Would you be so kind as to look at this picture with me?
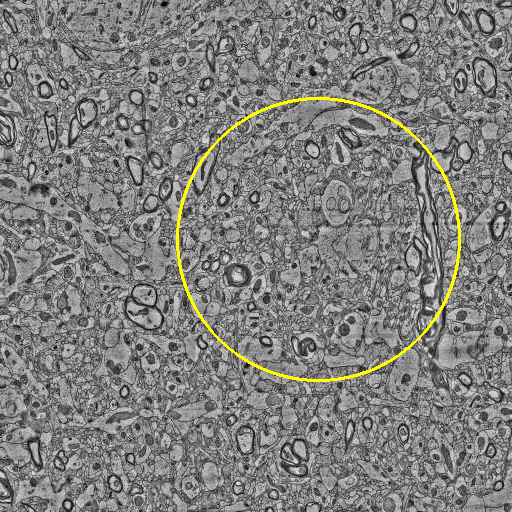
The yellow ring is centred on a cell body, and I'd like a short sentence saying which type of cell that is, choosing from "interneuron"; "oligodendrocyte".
The cell body in the ring belongs to an interneuron.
